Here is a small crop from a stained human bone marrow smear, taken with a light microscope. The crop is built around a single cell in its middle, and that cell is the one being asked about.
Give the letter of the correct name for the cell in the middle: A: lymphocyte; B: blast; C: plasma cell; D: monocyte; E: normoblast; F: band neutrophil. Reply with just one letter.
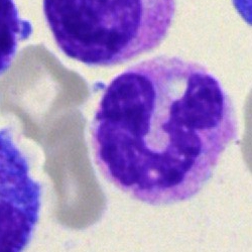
F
